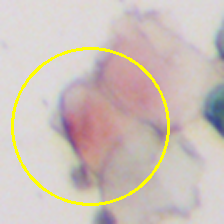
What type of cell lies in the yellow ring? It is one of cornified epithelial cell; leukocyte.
The ringed cell is a cornified epithelial cell.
